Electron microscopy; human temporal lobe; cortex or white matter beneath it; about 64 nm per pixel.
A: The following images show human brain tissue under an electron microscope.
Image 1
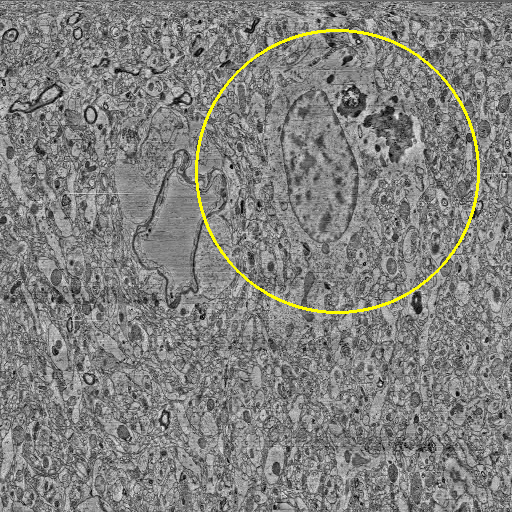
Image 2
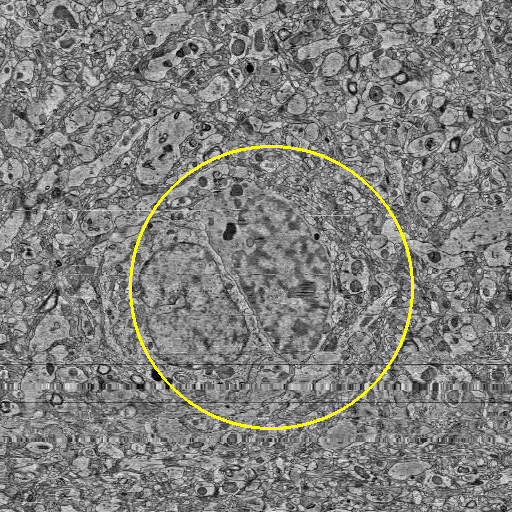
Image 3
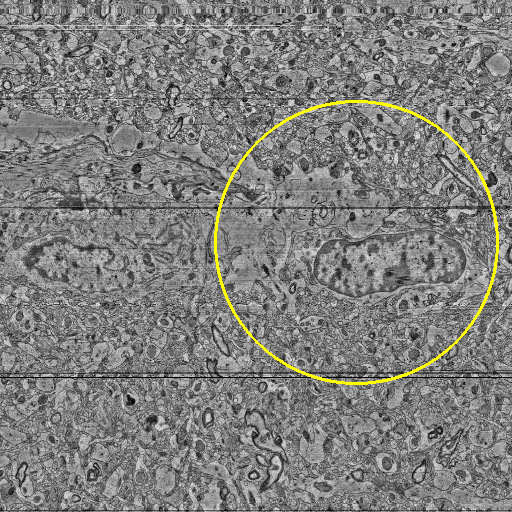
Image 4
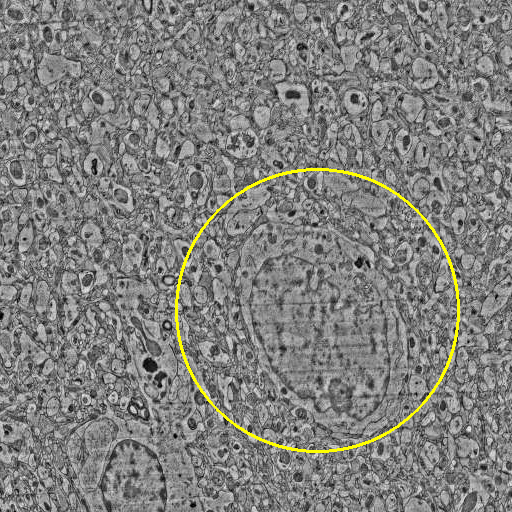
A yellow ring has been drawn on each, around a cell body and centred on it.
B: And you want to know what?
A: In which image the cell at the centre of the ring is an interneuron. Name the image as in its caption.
Image 4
